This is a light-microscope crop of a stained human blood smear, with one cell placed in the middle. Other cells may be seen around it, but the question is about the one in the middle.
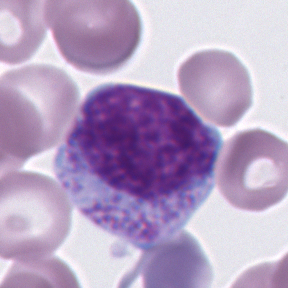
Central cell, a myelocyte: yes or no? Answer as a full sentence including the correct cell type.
Yes, centred in the crop is a myelocyte.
